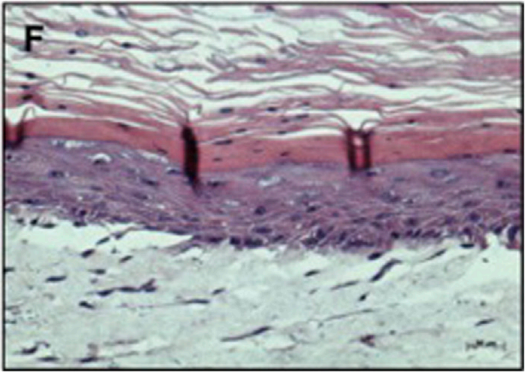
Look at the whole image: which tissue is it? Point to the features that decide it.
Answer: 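A band of densely packed, purple-nucleated cells lies on a pale, loose matrix. Above the cellular band lies a compact pink layer. Loose, wavy pink lamellae flake off at the top surface.
Answer: stratified epidermis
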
